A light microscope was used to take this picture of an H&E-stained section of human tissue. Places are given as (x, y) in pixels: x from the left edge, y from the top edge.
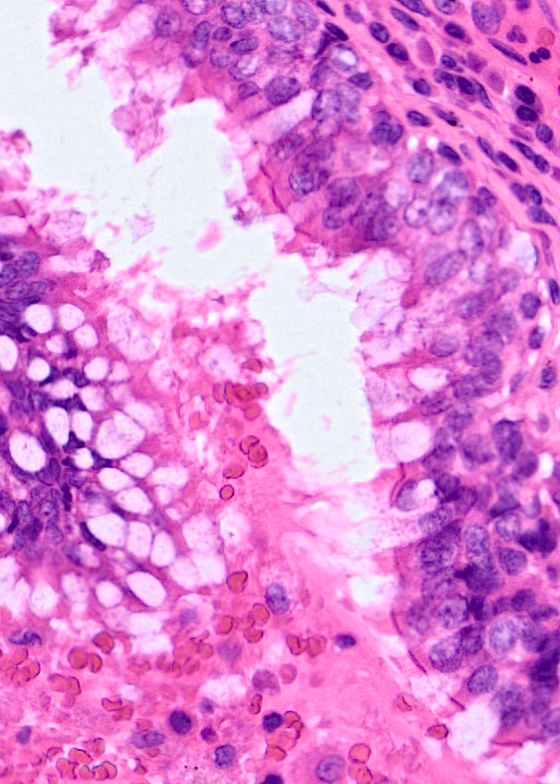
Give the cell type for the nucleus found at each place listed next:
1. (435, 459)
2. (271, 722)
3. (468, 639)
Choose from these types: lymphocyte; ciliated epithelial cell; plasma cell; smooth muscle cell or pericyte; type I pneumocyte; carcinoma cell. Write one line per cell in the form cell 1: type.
cell 1: ciliated epithelial cell
cell 2: lymphocyte
cell 3: ciliated epithelial cell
